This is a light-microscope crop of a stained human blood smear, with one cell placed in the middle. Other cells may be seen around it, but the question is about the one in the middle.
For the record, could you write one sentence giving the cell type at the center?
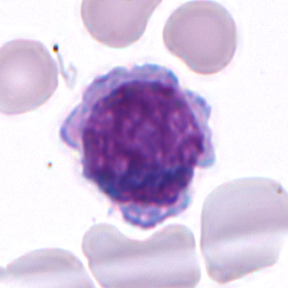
The crop shows a plasma cell in its centre.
